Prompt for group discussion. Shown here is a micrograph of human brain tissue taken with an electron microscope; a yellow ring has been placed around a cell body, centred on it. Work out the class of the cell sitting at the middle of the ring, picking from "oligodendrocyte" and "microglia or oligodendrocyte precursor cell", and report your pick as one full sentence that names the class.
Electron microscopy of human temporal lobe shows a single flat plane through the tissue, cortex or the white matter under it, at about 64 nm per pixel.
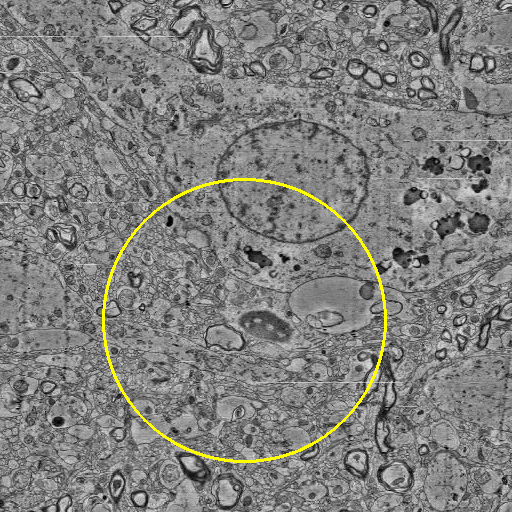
The cell sitting at the middle of the yellow ring is a microglial cell or oligodendrocyte precursor cell.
